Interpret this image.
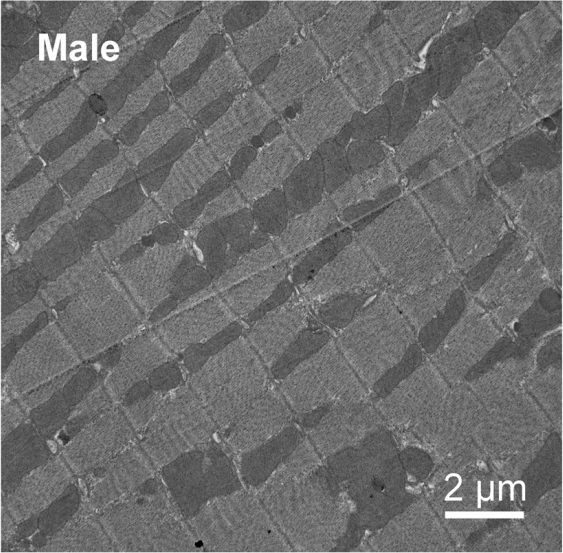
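Heart muscle cells seen by transmission electron microscopy, with striated myofibrils and rows of mitochondria. The myofibrils run obliquely across the field as pale, finely banded bundles, regularly crossed by thin dark transverse lines that mark the sarcomere boundaries. The mitochondria follow the long axis of the myofibrils, forming parallel strips. Small pale spaces and tubules appear here and there between the organelles.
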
